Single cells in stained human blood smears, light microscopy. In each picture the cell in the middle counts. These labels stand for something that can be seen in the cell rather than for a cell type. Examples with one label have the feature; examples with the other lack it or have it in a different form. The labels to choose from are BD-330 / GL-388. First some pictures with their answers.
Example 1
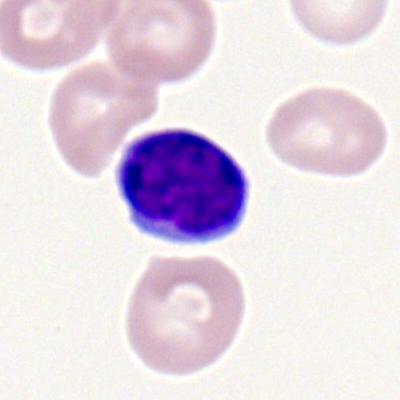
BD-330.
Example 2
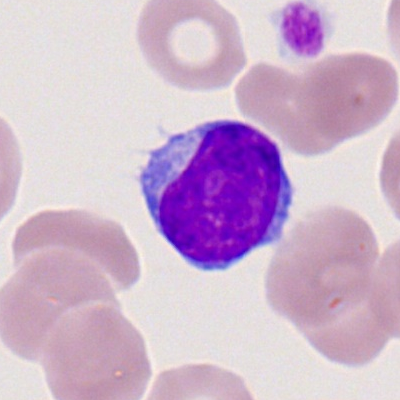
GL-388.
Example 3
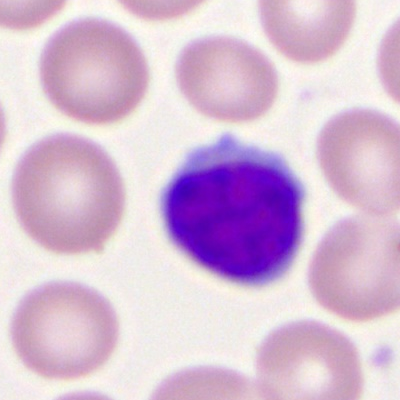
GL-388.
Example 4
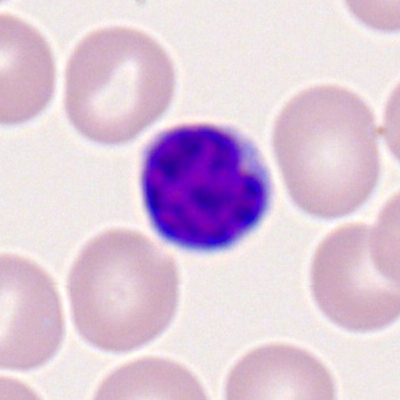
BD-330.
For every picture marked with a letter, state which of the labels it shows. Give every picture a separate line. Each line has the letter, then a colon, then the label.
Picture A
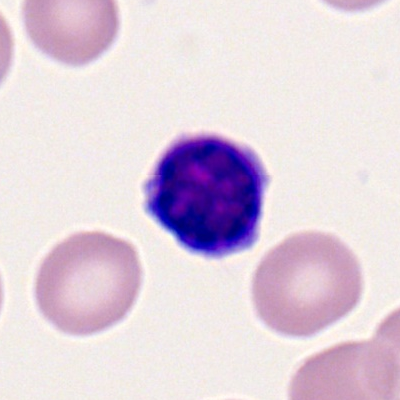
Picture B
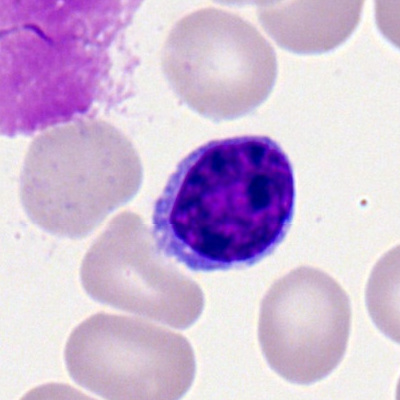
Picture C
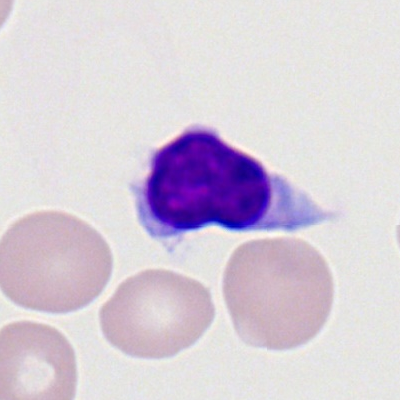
A: GL-388.
B: GL-388.
C: GL-388.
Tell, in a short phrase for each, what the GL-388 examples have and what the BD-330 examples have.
GL-388: ragged outline or projections; BD-330: smooth outline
